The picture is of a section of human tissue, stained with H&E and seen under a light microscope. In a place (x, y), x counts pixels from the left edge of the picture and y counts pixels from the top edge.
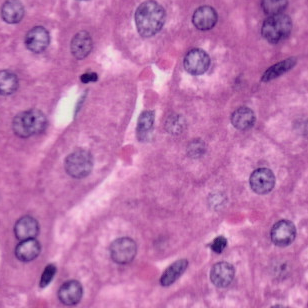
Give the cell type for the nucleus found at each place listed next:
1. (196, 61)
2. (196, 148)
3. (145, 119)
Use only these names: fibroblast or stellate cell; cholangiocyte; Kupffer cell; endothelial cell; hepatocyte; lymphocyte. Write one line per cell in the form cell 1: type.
cell 1: hepatocyte
cell 2: hepatocyte
cell 3: Kupffer cell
